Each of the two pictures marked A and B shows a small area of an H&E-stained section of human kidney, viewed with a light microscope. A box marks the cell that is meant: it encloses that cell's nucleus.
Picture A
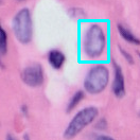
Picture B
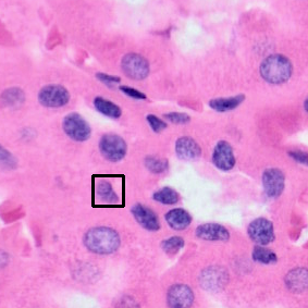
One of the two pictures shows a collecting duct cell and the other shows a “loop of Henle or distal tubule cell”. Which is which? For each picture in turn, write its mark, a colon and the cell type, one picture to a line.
A: collecting duct cell
B: loop of Henle or distal tubule cell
